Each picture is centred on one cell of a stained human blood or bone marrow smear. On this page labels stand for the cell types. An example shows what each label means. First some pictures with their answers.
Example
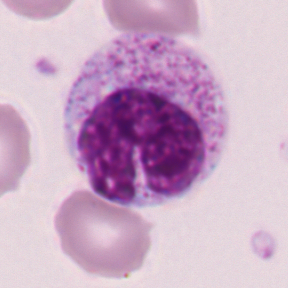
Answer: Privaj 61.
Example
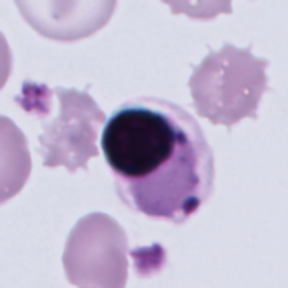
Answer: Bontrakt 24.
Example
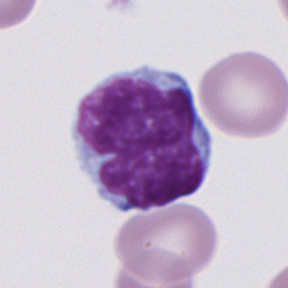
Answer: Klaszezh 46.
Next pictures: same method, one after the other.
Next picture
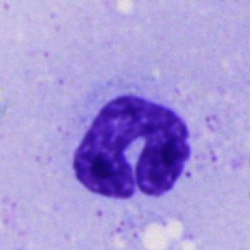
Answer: Privaj 61.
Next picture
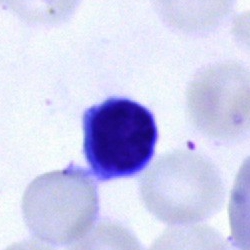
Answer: Klaszezh 46.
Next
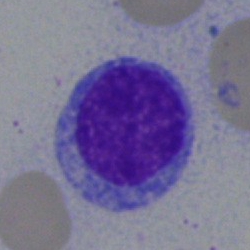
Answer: Klaszezh 46.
